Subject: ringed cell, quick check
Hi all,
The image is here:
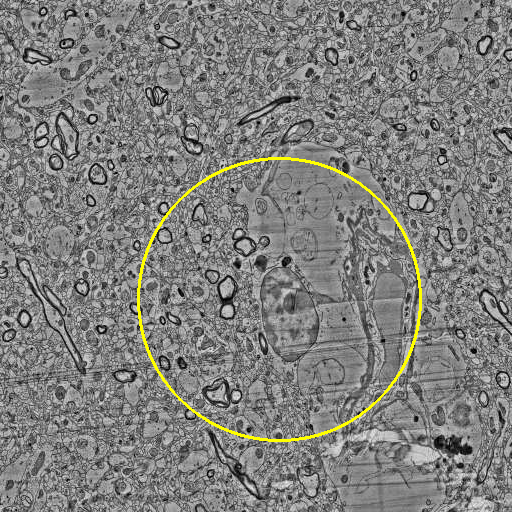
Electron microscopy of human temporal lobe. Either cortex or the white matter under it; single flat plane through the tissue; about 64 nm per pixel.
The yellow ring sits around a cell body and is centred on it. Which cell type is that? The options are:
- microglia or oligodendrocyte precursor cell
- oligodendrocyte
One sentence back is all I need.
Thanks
That ringed cell is a microglial cell or oligodendrocyte precursor cell.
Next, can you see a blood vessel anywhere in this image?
Yes, the picture includes a blood vessel.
